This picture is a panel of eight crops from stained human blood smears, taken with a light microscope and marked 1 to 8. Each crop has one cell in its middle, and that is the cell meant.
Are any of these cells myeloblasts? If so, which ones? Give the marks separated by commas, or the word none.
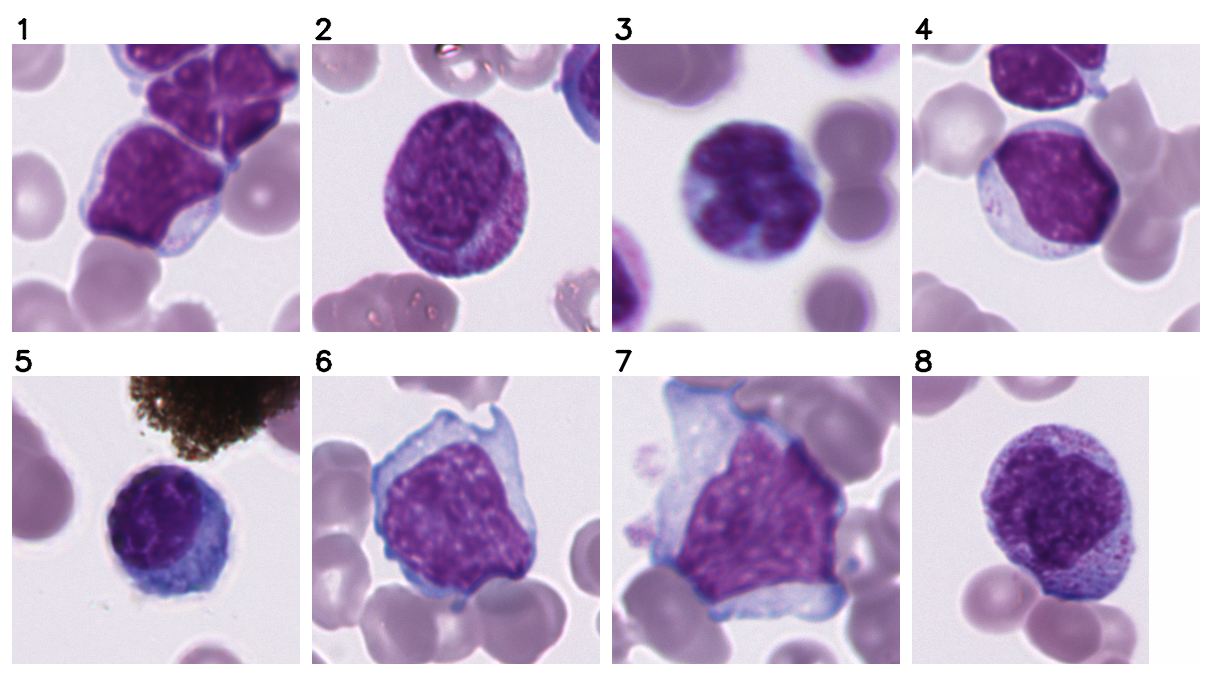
6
